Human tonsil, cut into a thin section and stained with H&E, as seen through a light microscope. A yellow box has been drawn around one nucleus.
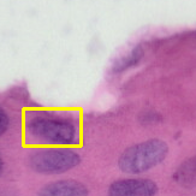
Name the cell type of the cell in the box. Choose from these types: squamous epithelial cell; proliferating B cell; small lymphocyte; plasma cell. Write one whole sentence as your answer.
In the context of this tissue, the cell in the box is a squamous epithelial cell.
